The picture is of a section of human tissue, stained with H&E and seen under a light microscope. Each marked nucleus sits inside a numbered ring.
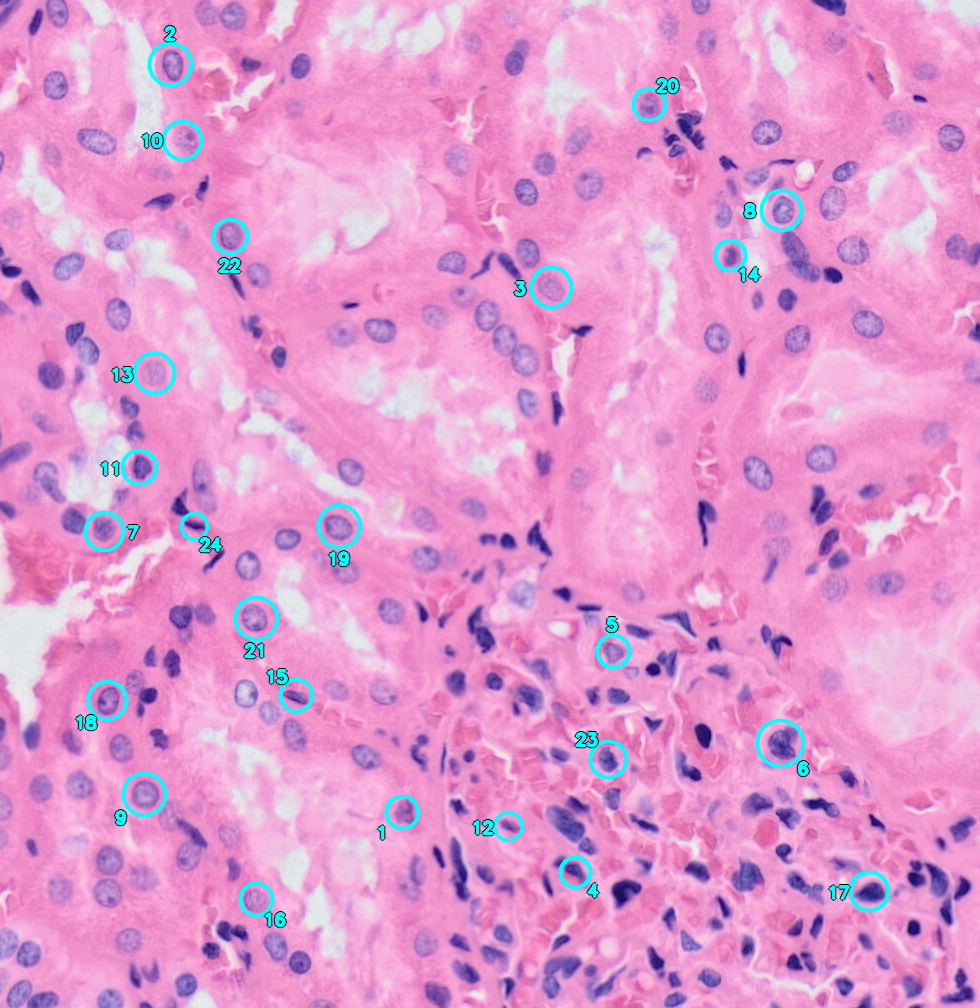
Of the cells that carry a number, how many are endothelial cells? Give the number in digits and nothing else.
8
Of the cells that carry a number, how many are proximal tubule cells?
12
